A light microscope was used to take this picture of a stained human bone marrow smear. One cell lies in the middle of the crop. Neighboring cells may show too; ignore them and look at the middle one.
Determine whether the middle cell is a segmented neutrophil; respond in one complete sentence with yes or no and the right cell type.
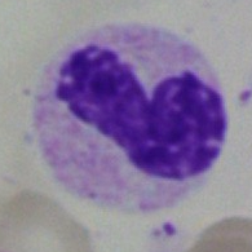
No, not a segmented neutrophil: the cell in the middle of this crop is a band neutrophil.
